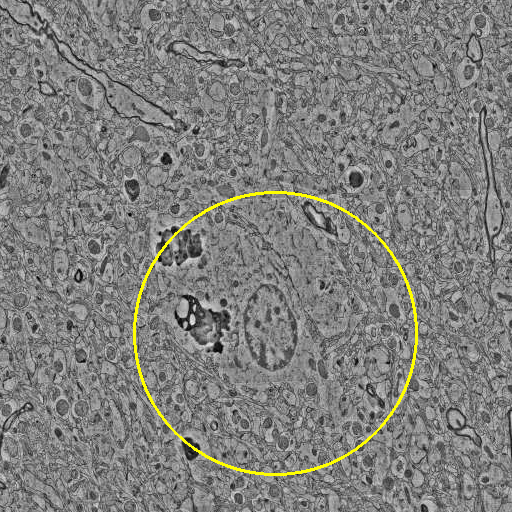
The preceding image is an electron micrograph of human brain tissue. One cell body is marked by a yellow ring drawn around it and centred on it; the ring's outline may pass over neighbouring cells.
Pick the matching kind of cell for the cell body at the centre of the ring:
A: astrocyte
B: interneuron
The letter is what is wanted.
A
